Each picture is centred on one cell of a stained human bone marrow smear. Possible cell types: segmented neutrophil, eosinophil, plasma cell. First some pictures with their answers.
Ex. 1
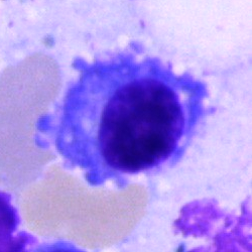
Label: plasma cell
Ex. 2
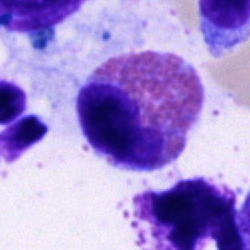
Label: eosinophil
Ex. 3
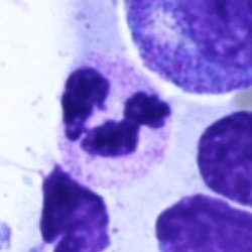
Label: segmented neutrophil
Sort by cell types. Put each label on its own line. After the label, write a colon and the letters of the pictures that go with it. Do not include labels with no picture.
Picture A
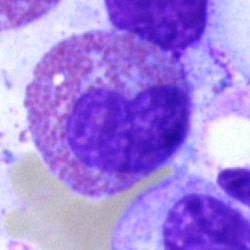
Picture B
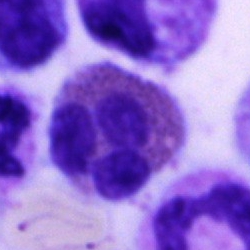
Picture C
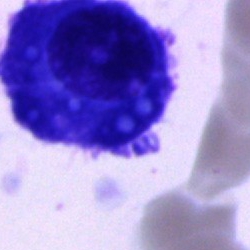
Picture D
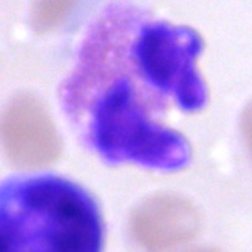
eosinophil: A, B, D
plasma cell: C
